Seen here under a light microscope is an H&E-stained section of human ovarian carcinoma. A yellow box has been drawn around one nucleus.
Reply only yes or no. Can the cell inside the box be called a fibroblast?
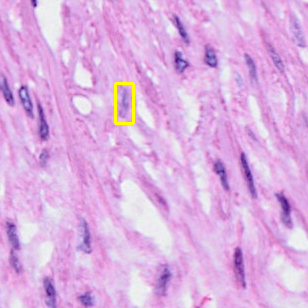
yes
